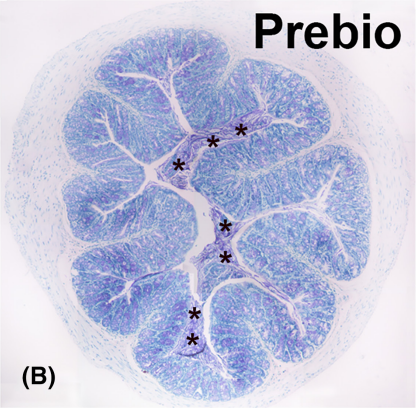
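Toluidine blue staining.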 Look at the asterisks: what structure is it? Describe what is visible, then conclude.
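Mucous secretion. The asterisks lie in the central lumen between mucosal folds. Purple-stained amorphous material fills the lumen where the asterisks are.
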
